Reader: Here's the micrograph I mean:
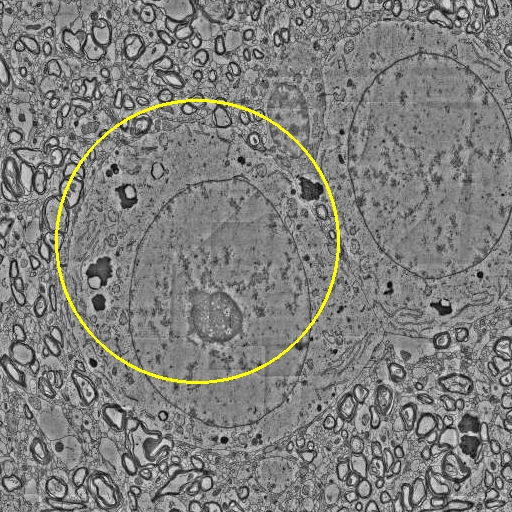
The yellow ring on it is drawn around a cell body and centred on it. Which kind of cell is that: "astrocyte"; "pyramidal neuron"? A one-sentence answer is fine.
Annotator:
The ring is centred on a pyramidal neuron.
